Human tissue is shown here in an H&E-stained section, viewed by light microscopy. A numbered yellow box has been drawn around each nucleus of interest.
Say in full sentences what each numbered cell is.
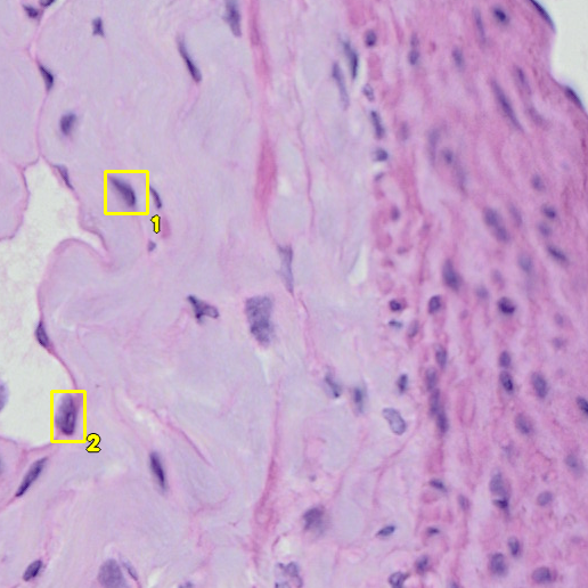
Cell 1 is a fibroblast. Cell 2 is an endothelial cell.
